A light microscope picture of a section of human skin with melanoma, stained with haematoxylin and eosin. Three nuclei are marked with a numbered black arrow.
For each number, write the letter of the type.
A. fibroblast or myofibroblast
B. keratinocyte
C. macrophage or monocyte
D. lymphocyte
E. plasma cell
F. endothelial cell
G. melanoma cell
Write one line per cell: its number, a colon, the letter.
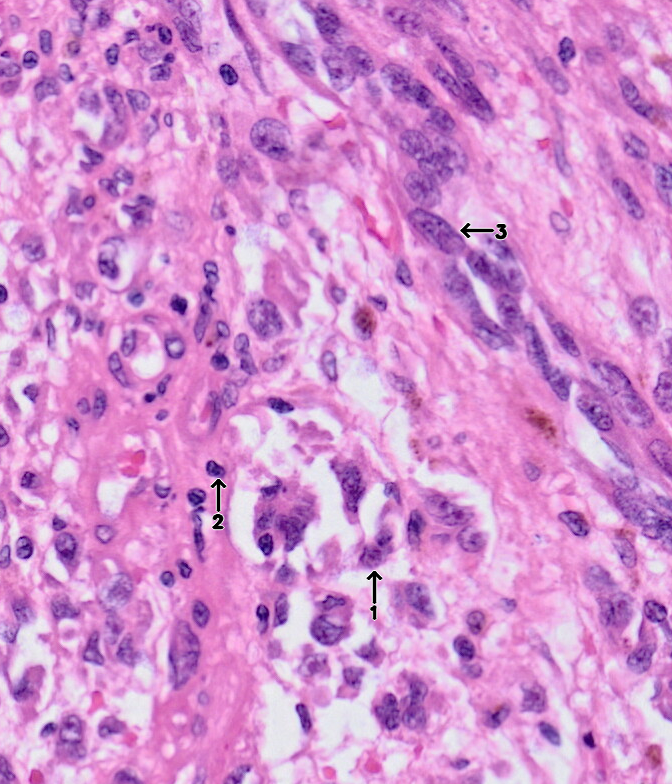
1: G
2: D
3: G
